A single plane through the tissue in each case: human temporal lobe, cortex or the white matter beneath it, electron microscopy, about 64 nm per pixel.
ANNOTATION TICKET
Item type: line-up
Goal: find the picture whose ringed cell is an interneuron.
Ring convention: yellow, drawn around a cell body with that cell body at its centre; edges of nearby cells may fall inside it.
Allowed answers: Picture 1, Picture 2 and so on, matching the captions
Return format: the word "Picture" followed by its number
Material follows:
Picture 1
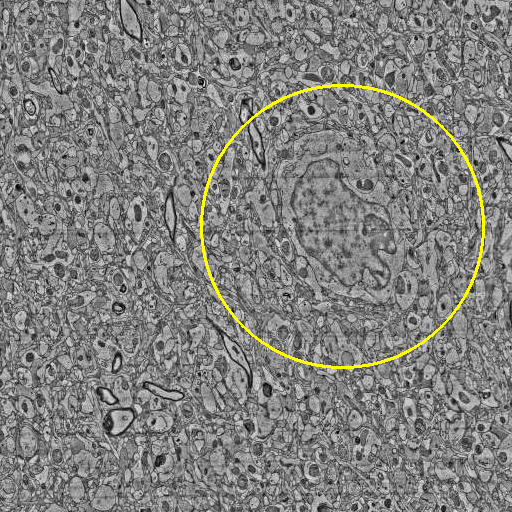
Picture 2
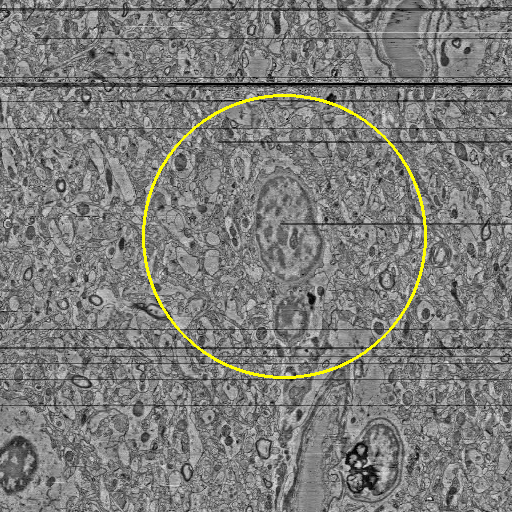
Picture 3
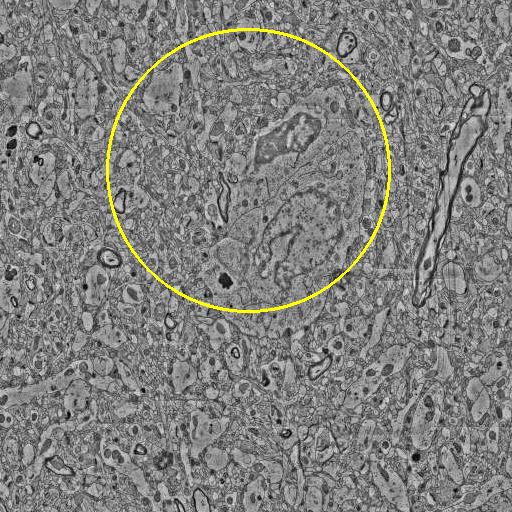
Picture 1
